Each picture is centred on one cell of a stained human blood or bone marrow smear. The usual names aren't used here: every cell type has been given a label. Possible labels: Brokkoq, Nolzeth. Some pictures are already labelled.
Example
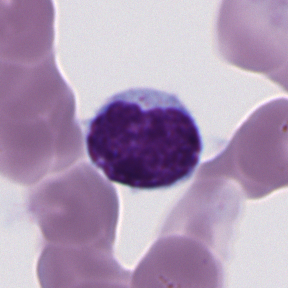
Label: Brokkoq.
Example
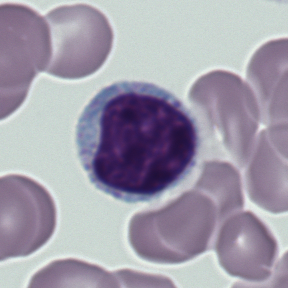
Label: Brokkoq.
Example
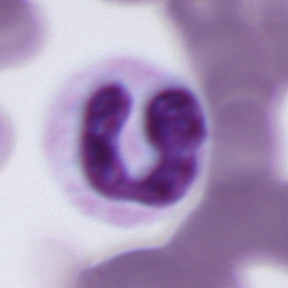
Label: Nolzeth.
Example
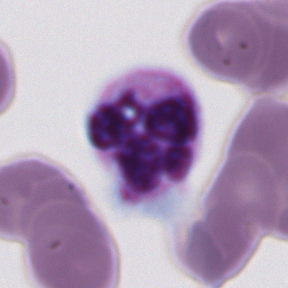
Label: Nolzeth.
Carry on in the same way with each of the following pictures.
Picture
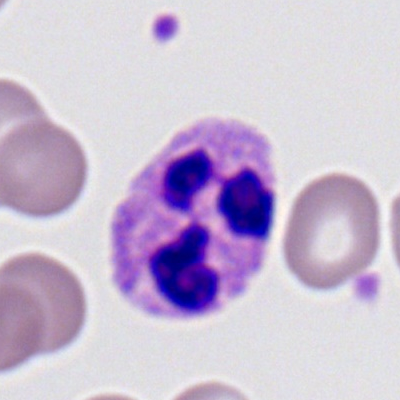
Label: Nolzeth.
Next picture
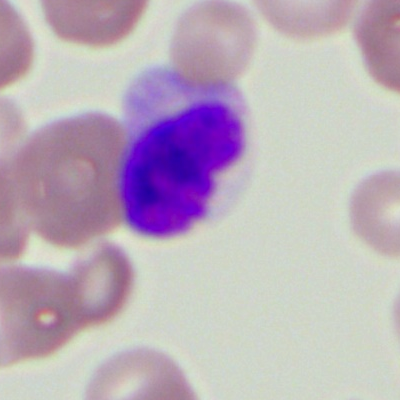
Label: Brokkoq.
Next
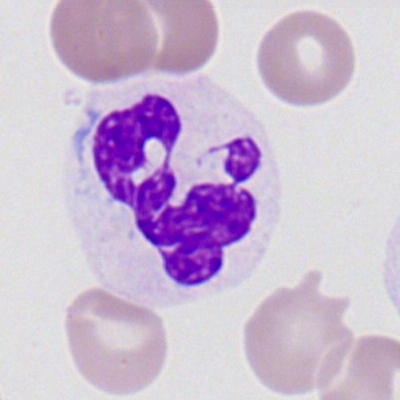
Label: Nolzeth.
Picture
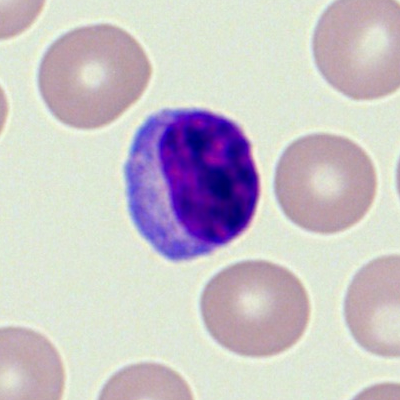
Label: Brokkoq.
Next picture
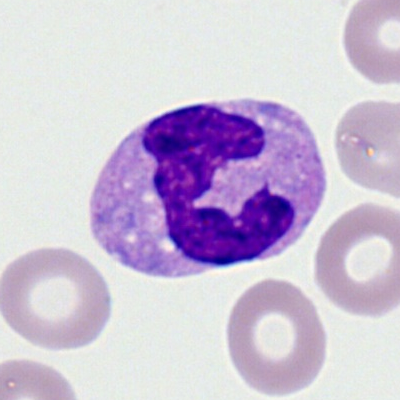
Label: Nolzeth.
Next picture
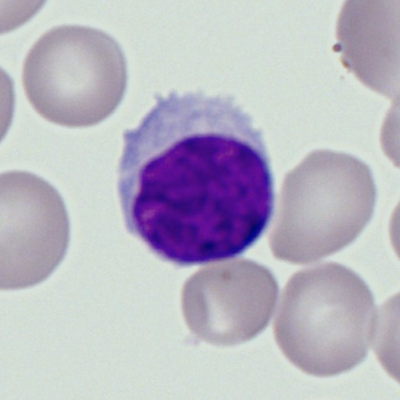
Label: Brokkoq.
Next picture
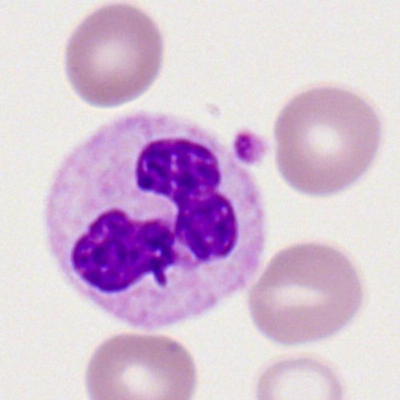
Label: Nolzeth.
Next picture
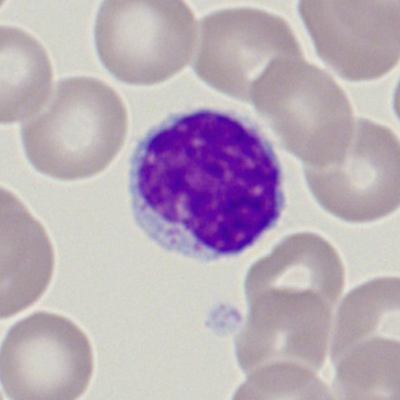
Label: Brokkoq.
